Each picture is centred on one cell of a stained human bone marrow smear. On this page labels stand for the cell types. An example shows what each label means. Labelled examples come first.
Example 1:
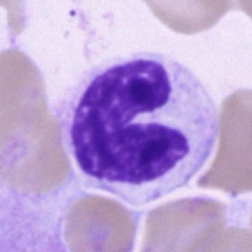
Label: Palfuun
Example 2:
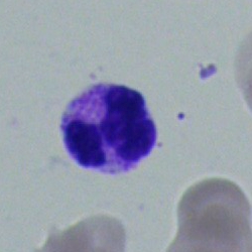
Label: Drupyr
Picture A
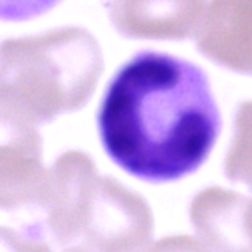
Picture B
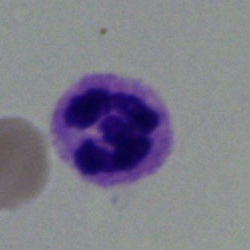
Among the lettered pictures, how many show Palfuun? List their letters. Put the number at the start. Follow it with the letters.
1, namely A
